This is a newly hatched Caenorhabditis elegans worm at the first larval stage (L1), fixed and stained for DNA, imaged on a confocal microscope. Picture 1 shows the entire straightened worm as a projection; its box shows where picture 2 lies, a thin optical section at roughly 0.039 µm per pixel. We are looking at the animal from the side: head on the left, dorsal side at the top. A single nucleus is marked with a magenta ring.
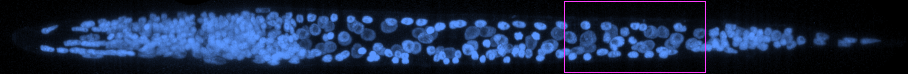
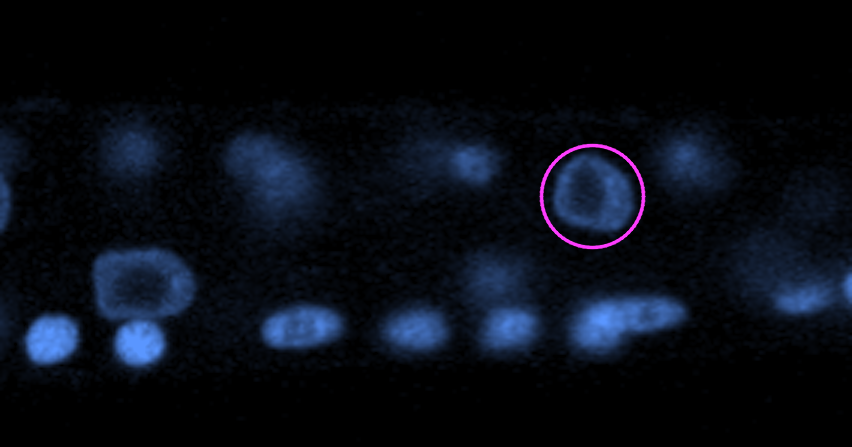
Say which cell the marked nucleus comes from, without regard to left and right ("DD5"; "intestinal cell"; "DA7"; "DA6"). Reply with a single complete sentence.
It belongs to an intestinal cell.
